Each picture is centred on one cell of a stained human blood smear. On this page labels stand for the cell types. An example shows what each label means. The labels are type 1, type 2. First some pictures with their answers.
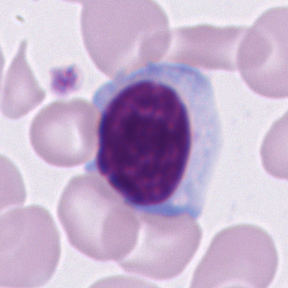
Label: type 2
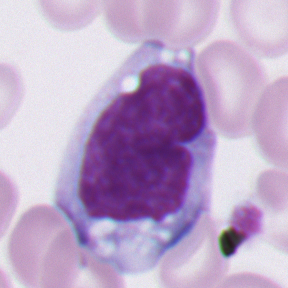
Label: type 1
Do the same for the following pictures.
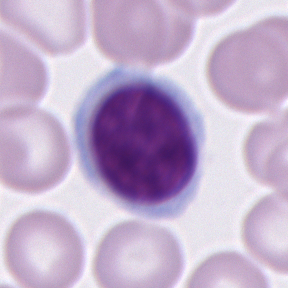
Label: type 2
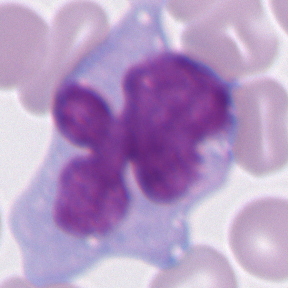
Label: type 1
